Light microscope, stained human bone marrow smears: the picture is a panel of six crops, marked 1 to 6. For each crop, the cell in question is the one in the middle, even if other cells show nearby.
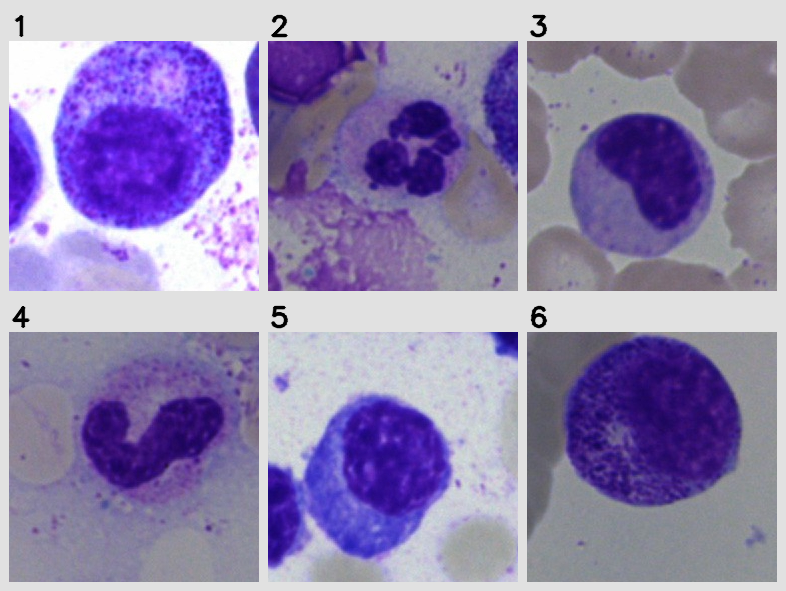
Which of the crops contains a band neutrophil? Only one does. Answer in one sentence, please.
Here the crop that shows a band neutrophil is crop 4.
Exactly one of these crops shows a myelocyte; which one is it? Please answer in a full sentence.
Among the crops, only crop 6 contains a myelocyte.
